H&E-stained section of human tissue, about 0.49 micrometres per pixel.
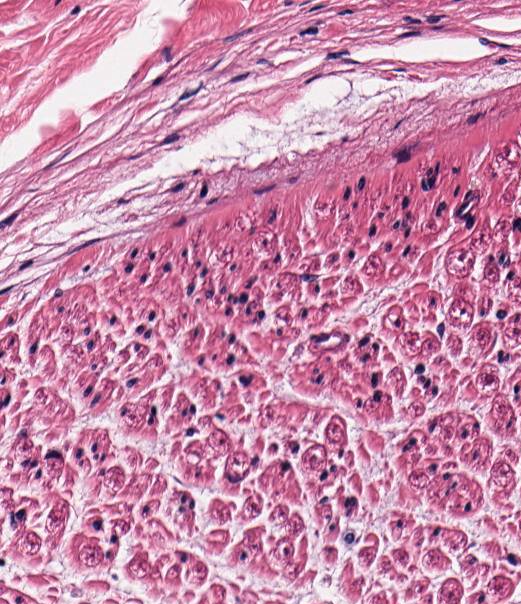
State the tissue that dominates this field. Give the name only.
nerve fascicle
